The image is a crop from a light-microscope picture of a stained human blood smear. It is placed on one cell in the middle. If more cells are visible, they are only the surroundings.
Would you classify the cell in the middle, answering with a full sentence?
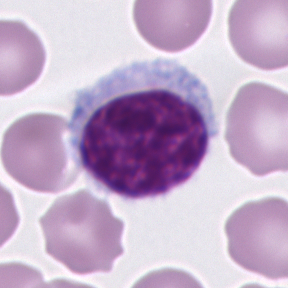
Of the cells in this crop, the central one is a hairy cell.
